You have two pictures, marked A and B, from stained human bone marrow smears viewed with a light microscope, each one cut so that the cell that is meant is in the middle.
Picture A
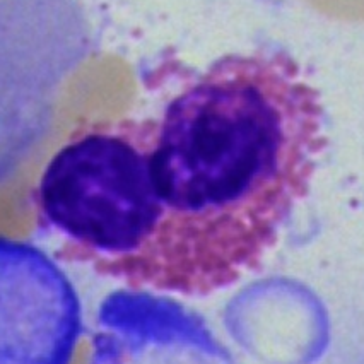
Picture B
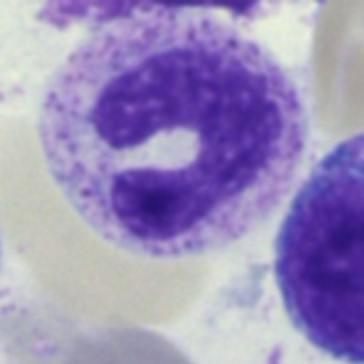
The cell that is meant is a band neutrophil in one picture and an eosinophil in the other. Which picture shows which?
A: eosinophil
B: band neutrophil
